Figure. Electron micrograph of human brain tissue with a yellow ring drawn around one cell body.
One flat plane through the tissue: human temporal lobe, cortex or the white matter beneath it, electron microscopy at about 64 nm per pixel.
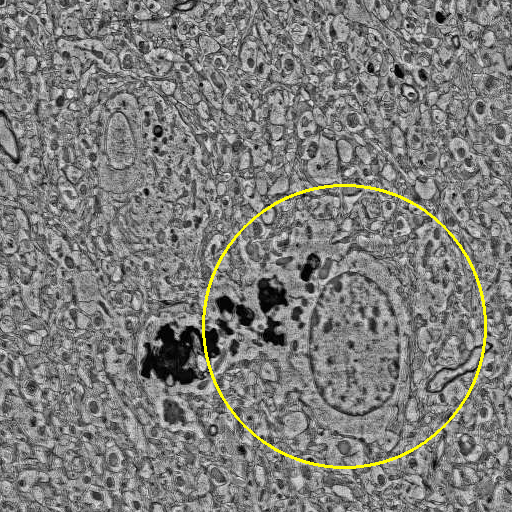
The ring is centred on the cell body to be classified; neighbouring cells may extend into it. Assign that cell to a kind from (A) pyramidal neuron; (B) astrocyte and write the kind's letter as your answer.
B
